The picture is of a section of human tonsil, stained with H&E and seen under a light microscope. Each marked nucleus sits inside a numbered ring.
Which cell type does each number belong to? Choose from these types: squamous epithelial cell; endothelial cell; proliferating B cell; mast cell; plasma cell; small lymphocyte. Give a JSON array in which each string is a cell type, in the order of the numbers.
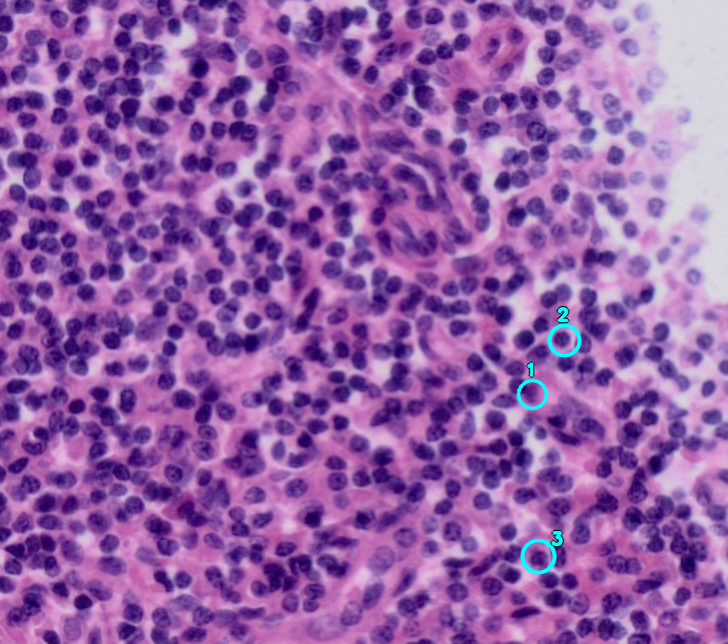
["endothelial cell", "small lymphocyte", "plasma cell"]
